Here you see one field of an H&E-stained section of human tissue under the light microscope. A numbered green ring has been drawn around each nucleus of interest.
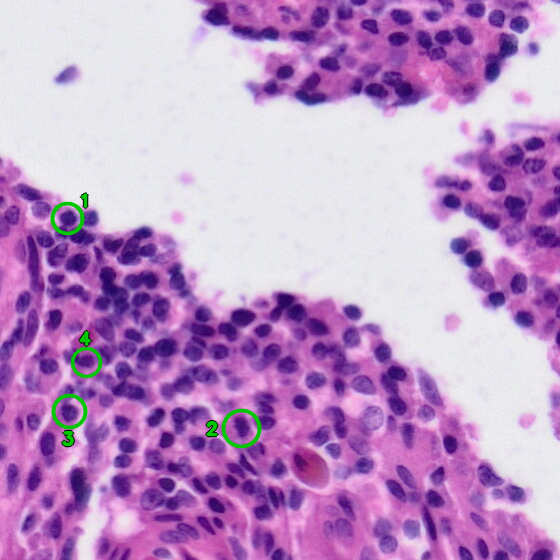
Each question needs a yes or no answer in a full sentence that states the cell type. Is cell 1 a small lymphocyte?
Yes. The cell carrying number 1 is a small lymphocyte.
